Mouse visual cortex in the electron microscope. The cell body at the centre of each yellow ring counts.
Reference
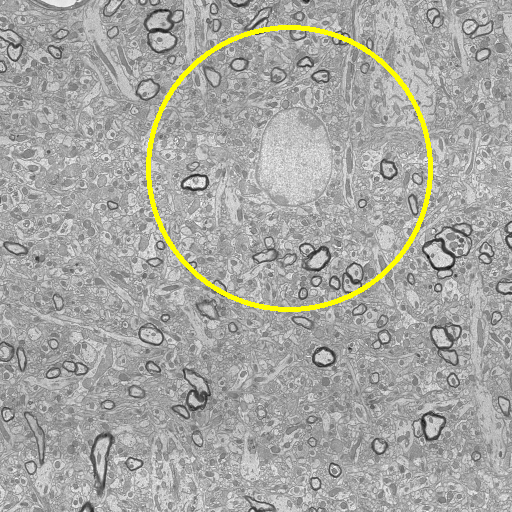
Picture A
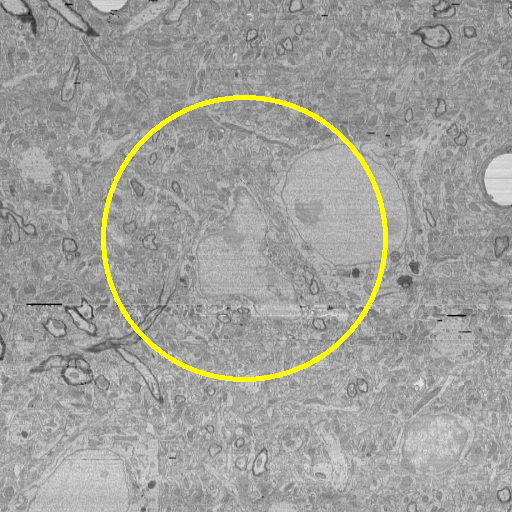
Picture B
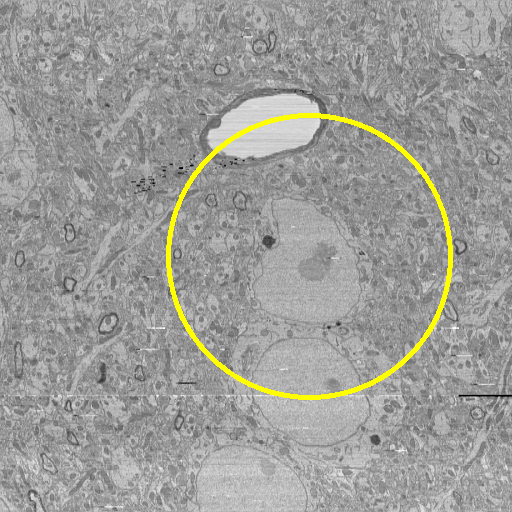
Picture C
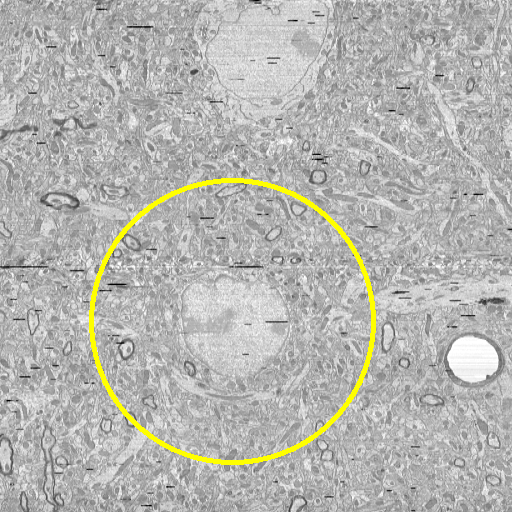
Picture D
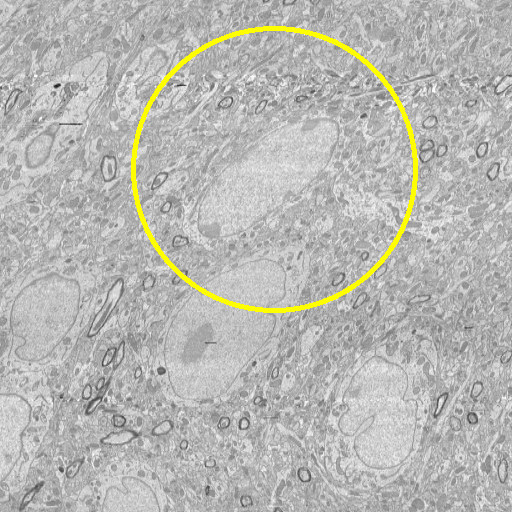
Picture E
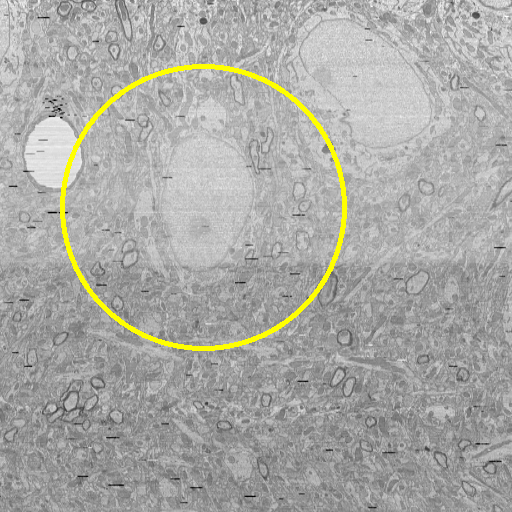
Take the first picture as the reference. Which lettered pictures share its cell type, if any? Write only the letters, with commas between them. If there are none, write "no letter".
C, D, E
